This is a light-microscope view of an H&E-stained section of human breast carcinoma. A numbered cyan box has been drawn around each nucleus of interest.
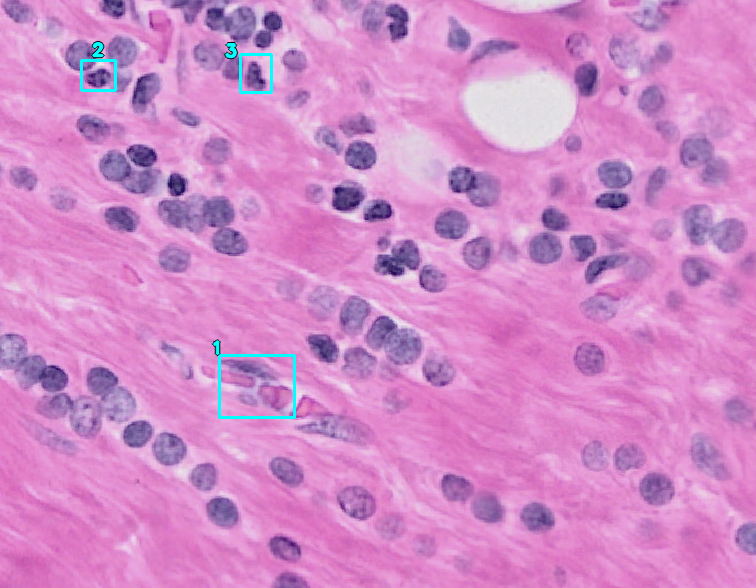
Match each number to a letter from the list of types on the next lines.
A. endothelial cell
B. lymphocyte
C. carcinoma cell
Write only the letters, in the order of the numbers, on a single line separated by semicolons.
A; B; B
